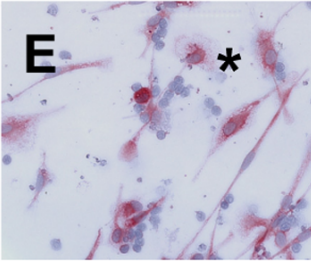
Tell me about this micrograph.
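The spindle cells have long, thin tapering processes and strong red cytoplasmic stain around an oval blue nucleus. Several larger rounded cells also carry dense red cytoplasm. Numerous small round cells with blue nuclei and little cytoplasm lie clustered between them, largely unstained.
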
